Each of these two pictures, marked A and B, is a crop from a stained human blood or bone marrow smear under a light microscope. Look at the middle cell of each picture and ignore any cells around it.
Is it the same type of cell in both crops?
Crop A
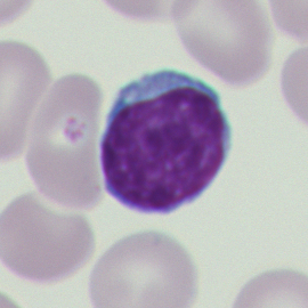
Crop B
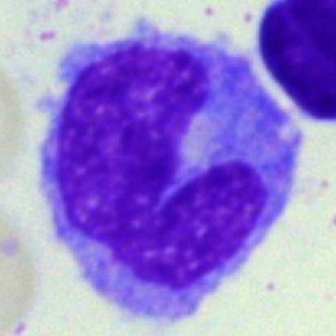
no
